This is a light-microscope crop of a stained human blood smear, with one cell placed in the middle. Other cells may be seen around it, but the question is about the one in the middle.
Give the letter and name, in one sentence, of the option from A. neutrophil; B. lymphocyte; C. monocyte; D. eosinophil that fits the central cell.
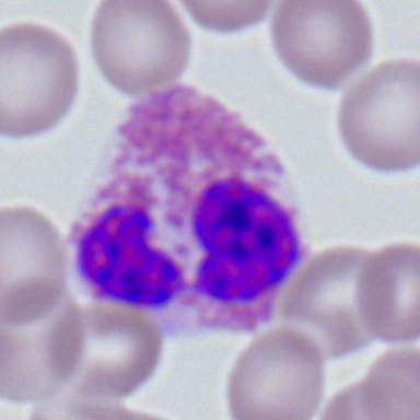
Of the choices given, option D is right, as the central cell is an eosinophil.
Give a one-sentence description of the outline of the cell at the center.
Its outline is ragged or drawn out into projections, not smooth.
